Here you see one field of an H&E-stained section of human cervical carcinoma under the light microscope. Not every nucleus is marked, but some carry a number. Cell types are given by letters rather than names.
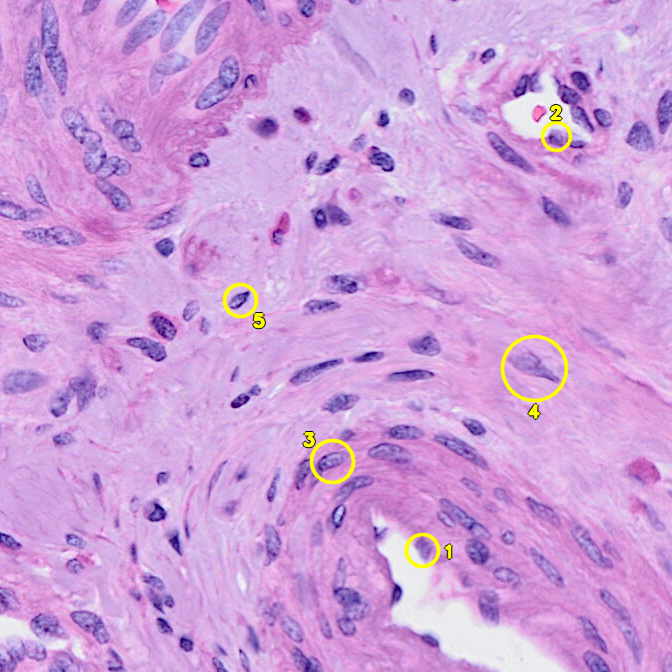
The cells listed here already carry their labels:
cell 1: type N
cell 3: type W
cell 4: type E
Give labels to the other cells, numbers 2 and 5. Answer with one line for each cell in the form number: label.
2: type N
5: type E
